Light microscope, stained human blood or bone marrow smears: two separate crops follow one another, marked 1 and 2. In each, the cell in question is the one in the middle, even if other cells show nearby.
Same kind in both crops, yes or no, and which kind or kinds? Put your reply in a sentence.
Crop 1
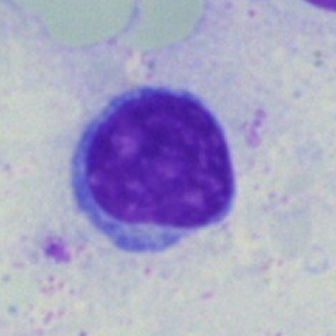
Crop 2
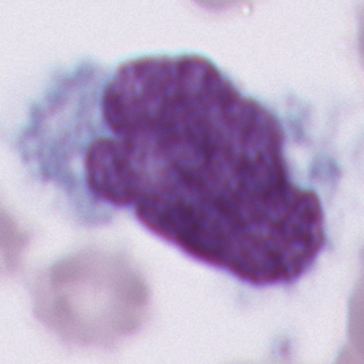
No, crop 1 shows a lymphocyte, whereas in crop 2 the cell is a monocyte.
